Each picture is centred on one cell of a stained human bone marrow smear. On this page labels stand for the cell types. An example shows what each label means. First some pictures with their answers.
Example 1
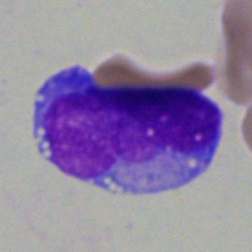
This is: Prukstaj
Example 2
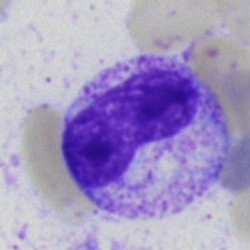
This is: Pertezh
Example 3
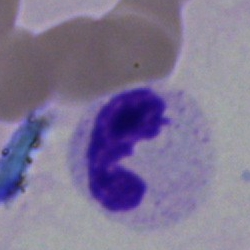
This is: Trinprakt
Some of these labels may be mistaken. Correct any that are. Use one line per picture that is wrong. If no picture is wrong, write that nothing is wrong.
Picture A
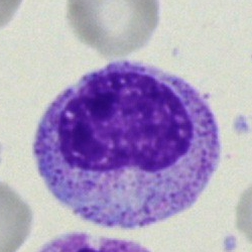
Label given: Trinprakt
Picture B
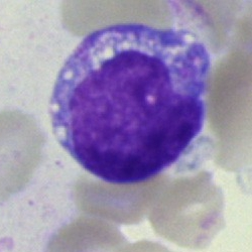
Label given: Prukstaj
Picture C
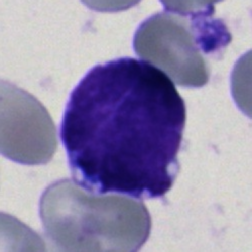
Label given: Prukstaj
A: change Trinprakt to Pertezh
